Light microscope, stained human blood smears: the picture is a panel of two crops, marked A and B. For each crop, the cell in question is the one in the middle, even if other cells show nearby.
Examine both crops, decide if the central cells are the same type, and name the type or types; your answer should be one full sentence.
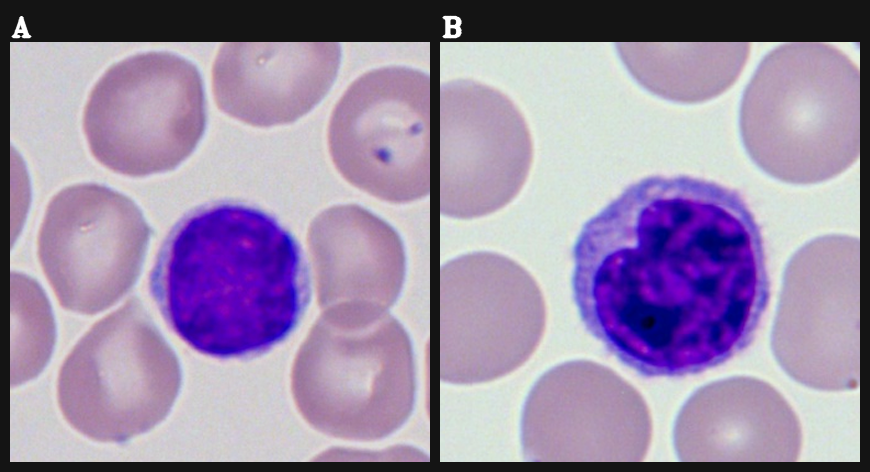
Yes, in both of the crops, the central cells are lymphocytes.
